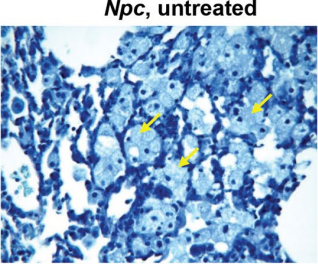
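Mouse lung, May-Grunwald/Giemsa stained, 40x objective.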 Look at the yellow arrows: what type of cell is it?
Foamy macrophages.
